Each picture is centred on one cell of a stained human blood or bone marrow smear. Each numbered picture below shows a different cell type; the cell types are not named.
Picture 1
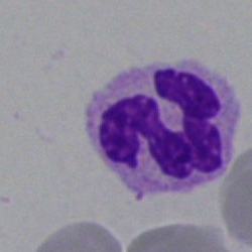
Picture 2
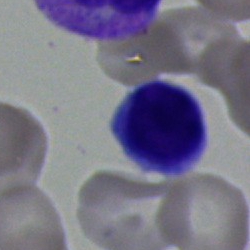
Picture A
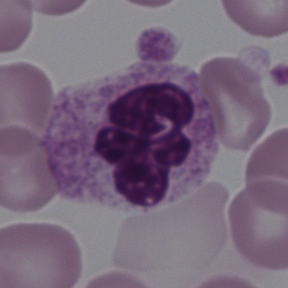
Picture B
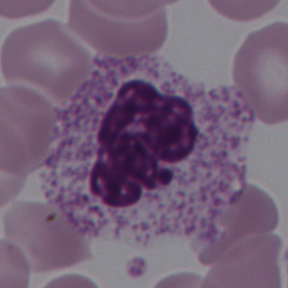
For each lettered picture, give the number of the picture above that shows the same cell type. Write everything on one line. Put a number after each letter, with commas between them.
A 1, B 1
